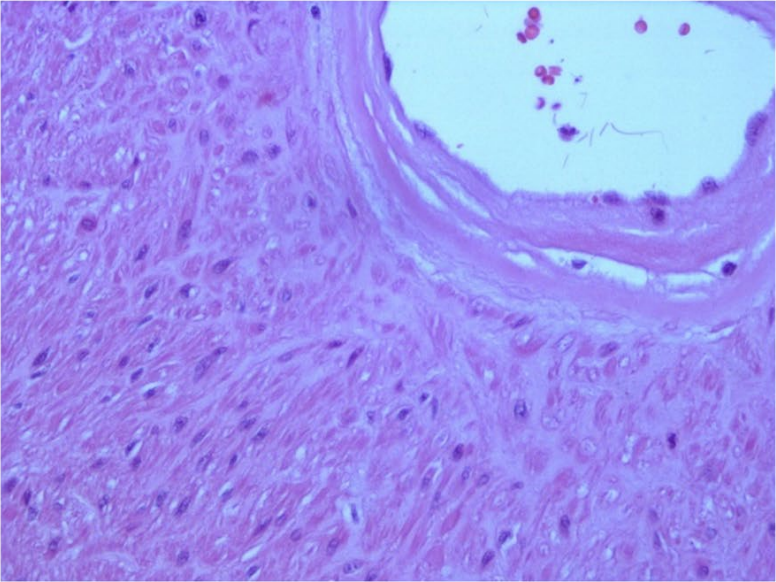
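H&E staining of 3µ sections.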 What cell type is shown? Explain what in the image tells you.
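Most nuclei are elongated and oval with tapered ends. Cells with pink cytoplasm are arranged in streaming, interlacing bundles. So: spindle shaped cells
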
